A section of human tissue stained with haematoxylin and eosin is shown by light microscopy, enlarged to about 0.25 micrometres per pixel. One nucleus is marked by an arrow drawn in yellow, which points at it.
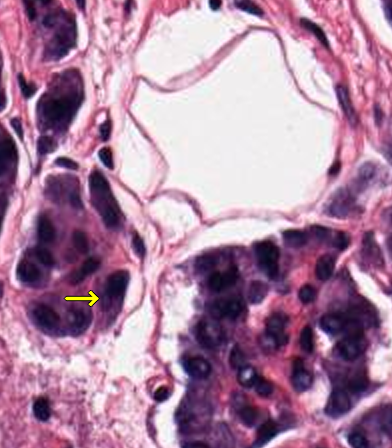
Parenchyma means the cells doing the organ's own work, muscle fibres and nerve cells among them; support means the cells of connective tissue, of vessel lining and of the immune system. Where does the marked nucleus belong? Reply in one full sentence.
In this section the marked nucleus belongs to a parenchymal cell, namely a pancreatic acinar cell.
